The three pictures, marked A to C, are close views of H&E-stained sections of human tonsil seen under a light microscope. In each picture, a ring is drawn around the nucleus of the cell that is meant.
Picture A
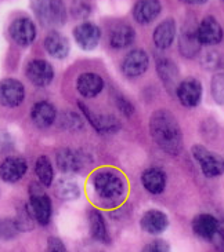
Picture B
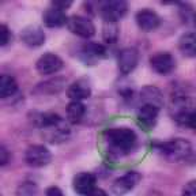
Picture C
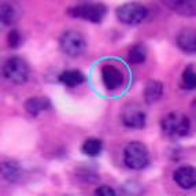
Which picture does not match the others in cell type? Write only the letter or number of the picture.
B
